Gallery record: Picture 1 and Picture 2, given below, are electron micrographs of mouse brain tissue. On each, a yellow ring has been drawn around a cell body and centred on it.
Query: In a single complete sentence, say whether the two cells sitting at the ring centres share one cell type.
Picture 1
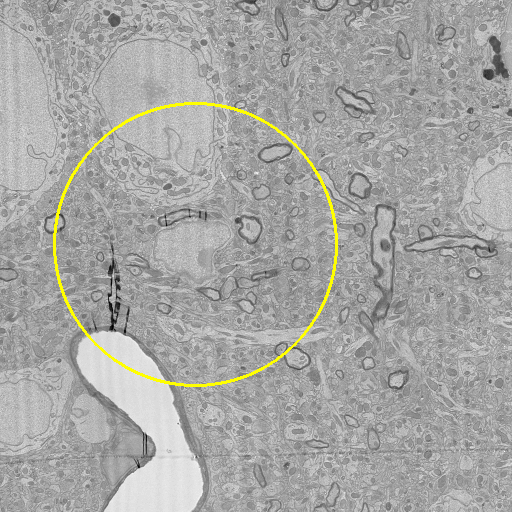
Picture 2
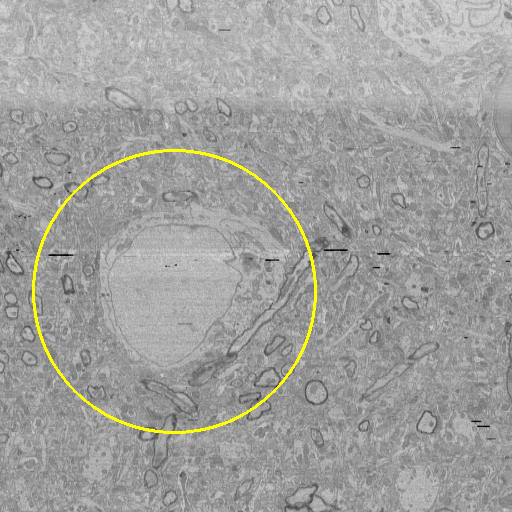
No, in the two pictures the cells at the rings' centres are of two separate types.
